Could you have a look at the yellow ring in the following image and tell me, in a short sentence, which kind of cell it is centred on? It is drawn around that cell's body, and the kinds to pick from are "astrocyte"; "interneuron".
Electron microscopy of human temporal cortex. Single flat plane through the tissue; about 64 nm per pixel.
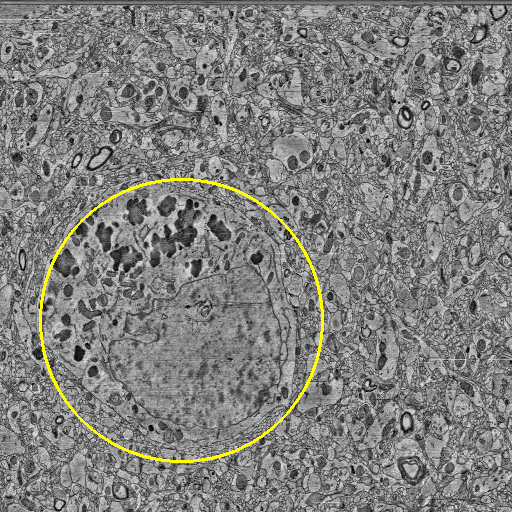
The ring is centred on the body of an interneuron.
